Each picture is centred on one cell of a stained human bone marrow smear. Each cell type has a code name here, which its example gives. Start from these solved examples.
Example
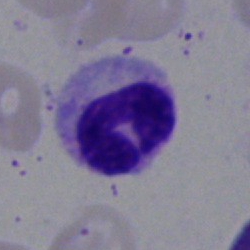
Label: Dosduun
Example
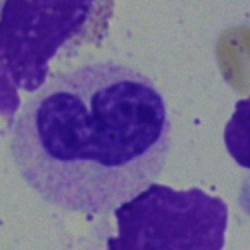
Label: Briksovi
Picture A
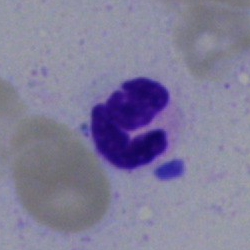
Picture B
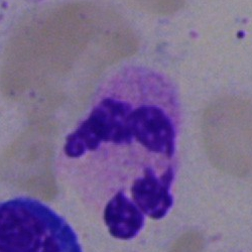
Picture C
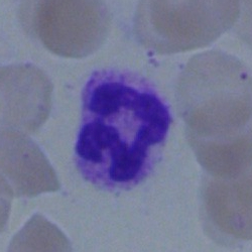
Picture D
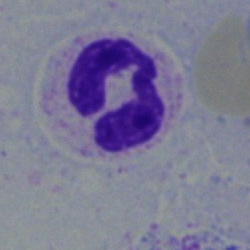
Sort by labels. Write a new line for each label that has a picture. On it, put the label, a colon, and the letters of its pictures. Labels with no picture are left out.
Dosduun: A, B, C, D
